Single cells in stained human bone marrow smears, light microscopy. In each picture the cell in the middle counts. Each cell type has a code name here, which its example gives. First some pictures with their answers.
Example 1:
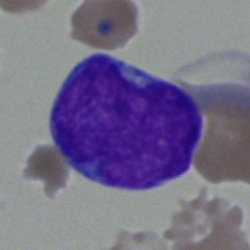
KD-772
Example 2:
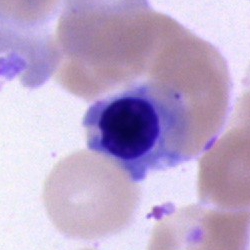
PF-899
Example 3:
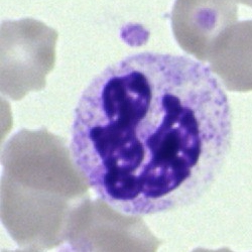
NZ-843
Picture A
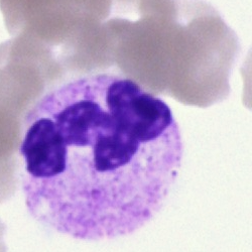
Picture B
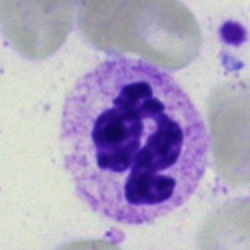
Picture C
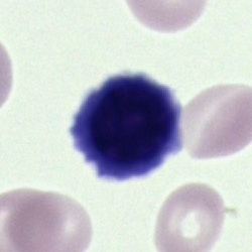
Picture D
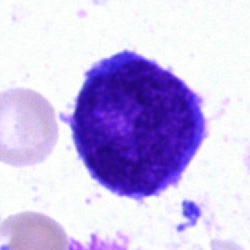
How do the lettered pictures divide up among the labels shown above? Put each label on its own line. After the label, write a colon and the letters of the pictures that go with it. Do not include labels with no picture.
KD-772: D
PF-899: C
NZ-843: A, B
